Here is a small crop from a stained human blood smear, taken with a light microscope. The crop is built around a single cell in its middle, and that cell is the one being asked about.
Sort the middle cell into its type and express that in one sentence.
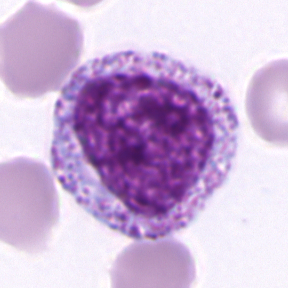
For this crop, the central cell is a myelocyte.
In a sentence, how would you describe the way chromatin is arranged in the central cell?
Its nuclear chromatin is gathered into coarse clumps.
